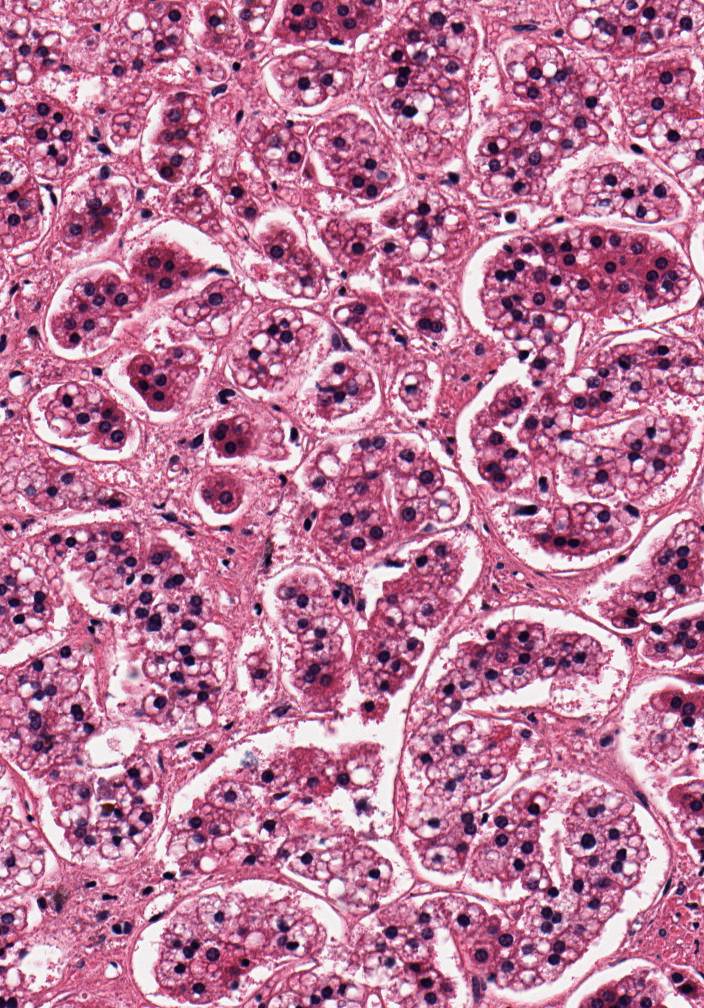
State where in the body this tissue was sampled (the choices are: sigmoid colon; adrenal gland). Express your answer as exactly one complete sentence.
Tissue for this section was sampled from the adrenal gland.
